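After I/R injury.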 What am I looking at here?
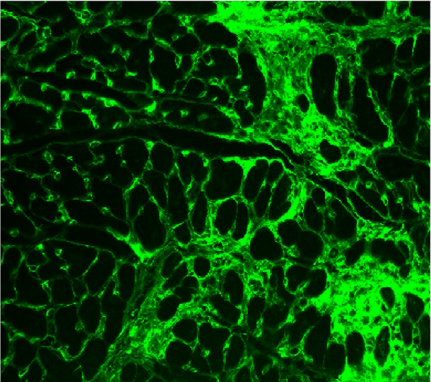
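Heart muscle cut across, with cardiomyocytes seen as dark profiles outlined in green, but here they are irregular and many are large and rounded, clearly bigger than those of normal myocardium. Between groups of muscle profiles run broad, bright green, meshy bands of tissue with many small bright dots and strands, widest toward the right side and the lower left. Some muscle profiles near these bands are elongated or distorted.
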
